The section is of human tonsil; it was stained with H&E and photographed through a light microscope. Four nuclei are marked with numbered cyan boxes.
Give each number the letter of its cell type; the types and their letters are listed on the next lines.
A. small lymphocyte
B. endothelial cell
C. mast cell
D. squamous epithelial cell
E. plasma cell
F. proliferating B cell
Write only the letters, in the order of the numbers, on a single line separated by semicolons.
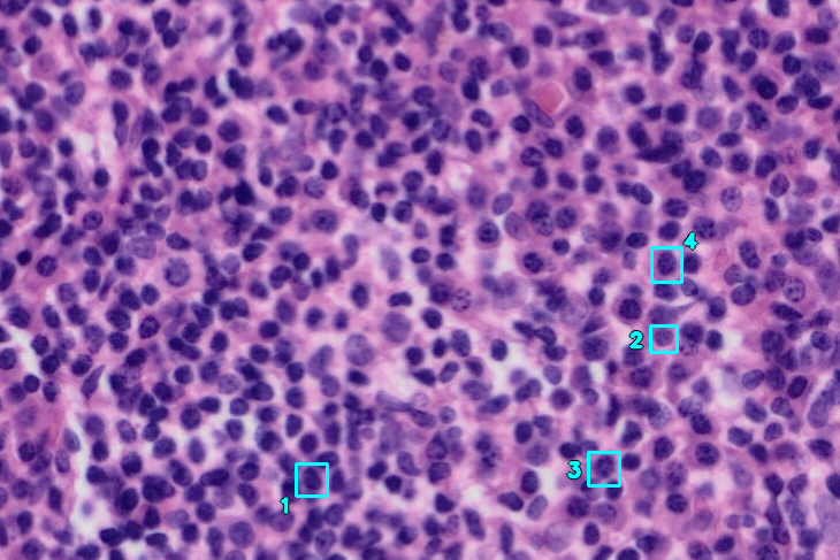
A; E; E; E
